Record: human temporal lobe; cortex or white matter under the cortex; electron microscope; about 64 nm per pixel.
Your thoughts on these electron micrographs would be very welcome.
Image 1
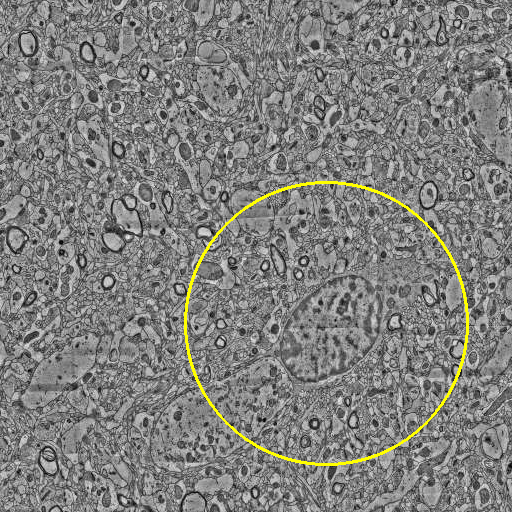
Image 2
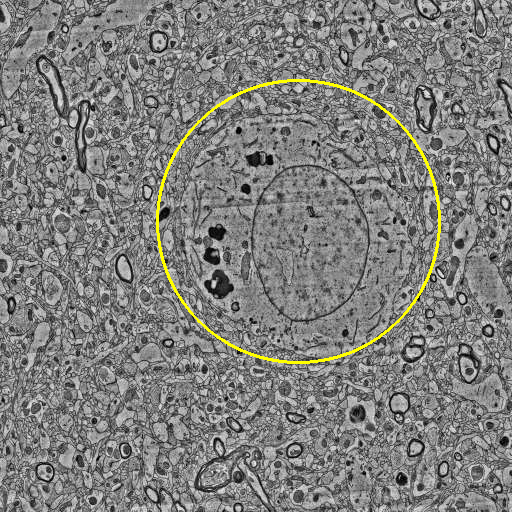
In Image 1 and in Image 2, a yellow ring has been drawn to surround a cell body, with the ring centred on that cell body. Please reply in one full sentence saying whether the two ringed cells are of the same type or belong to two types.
The ringed cells in Image 1 and Image 2 belong to two types.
